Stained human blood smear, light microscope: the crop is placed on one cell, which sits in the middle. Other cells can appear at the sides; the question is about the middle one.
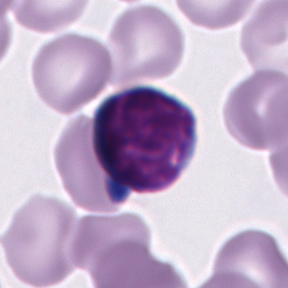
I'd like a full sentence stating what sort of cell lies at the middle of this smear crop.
The cell under consideration, at the middle of the crop, is a typical lymphocyte.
